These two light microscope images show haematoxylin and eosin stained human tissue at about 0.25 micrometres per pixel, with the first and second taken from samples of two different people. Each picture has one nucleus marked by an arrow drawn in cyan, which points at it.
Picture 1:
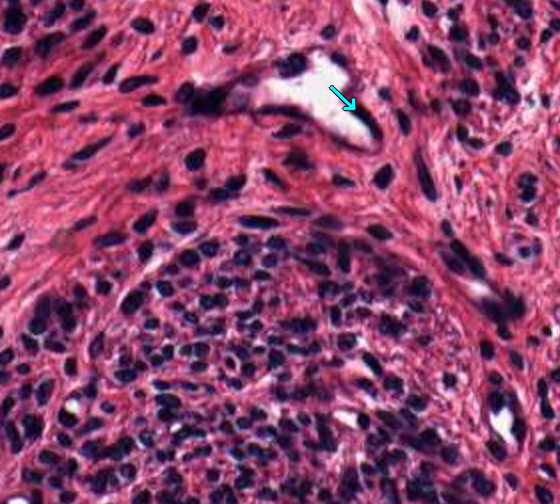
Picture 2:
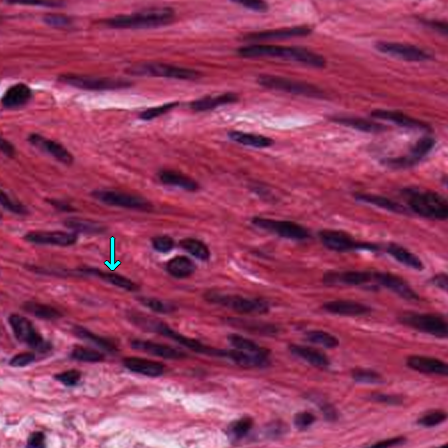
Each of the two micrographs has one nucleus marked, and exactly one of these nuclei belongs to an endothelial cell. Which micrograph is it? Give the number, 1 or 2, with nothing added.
1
